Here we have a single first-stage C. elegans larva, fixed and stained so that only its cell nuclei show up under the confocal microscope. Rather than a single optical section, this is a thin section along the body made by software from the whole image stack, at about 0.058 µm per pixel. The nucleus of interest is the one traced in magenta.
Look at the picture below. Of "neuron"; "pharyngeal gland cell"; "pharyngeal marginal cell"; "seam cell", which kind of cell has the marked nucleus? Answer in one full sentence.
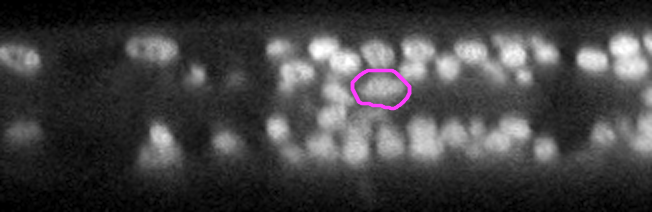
The marked cell is a pharyngeal marginal cell.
